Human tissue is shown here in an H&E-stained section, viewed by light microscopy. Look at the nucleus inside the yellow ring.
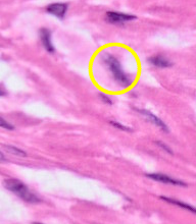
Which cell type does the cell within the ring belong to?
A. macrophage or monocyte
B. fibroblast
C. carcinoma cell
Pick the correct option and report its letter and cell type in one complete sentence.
Looking at the options, pick B; the cell within the ring is a fibroblast.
